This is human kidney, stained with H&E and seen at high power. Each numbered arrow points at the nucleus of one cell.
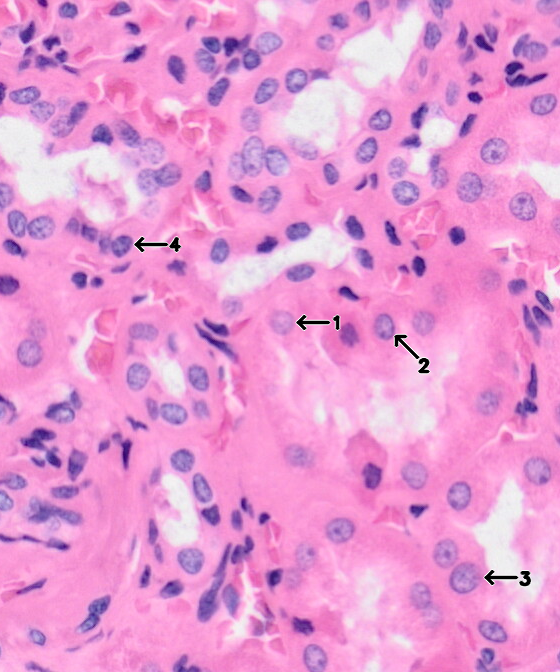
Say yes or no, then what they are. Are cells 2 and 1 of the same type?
Yes, both cells 2 and 1 are proximal tubule cells.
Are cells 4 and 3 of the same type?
No, a collecting duct cell is what cell 4 is, and a proximal tubule cell is what cell 3 is.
